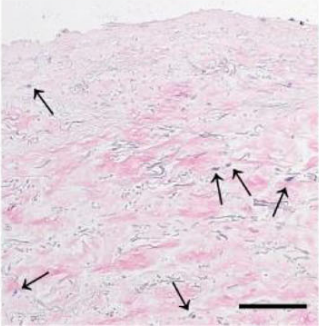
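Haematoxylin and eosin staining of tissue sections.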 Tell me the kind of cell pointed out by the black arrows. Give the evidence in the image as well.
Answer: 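The arrows point to small, dark, elongated nuclei scattered singly in the matrix. The surrounding tissue is loose, pale pink fibrous connective tissue.
Hence: fibroblasts.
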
